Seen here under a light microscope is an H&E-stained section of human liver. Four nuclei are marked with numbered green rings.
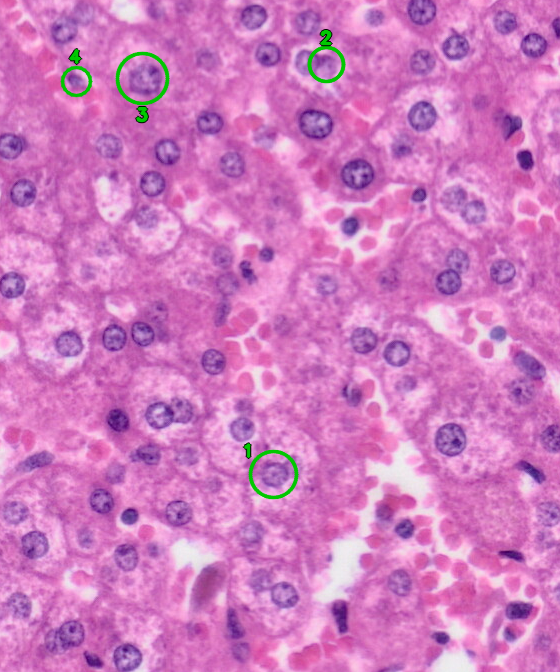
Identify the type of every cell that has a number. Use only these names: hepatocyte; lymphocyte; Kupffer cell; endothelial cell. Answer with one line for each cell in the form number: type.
1: hepatocyte
2: hepatocyte
3: hepatocyte
4: Kupffer cell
